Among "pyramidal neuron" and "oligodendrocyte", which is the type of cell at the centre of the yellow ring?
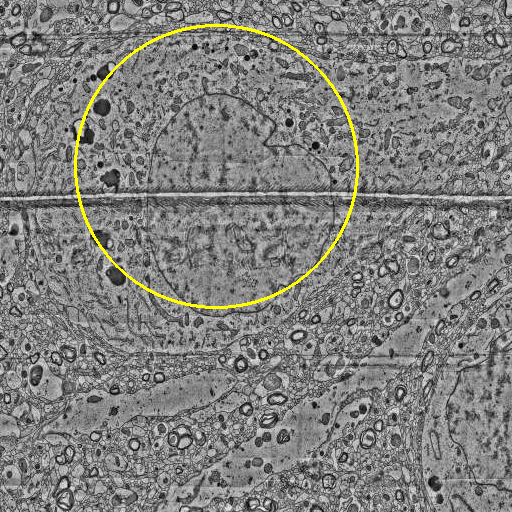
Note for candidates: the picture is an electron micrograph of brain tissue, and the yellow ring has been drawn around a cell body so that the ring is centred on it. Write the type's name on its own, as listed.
pyramidal neuron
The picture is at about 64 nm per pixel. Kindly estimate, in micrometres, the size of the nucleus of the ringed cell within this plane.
The nucleus of the ringed cell is approximately 13 micrometres across in this plane.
